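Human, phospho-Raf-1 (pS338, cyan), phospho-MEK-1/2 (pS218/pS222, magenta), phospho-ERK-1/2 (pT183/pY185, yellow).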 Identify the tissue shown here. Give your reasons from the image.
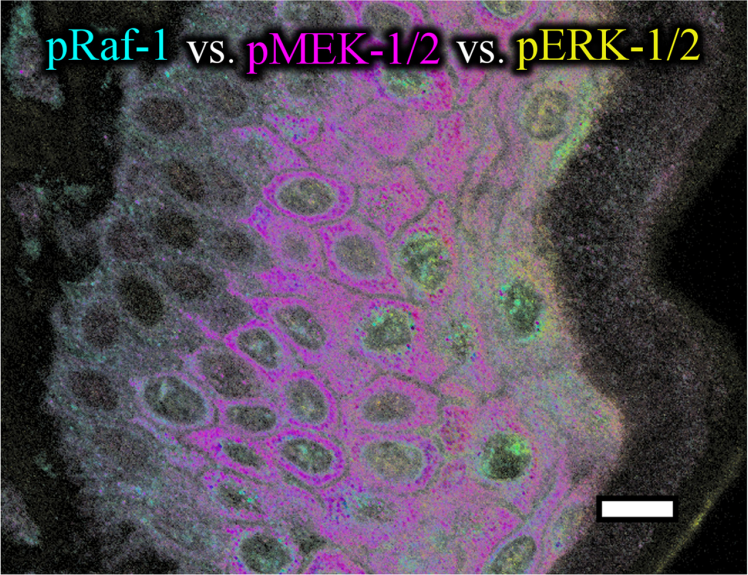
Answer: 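Closely packed polygonal cells, each with one large oval nucleus. Cells stacked in several layers forming a sheet with a free border on one side. A dark cell-free space lies beyond the sheet's outer edge. On this evidence: epidermis.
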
